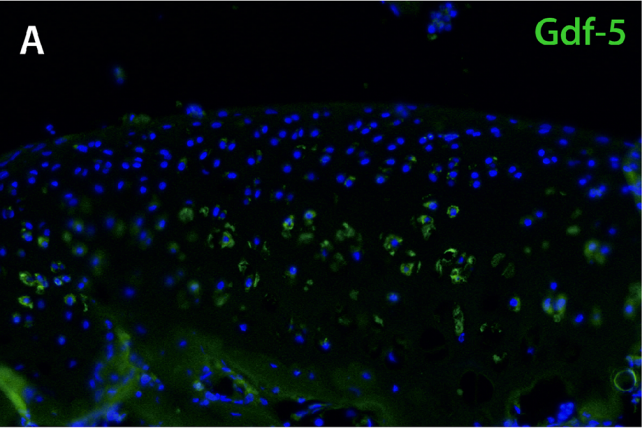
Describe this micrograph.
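This is articular cartilage with its chondrocytes, their nuclei shown in blue, scattered through a dark matrix beneath a smooth surface. Near the surface the cells are small with small rounded nuclei and show little green. Deeper down the cells are larger, sit in rounded spaces, and many are rimmed or filled by a green, granular label. Some of these larger cells lie in small pairs or clusters. At the bottom, dense green-fluorescing tissue with irregular spaces marks the transition to underlying bone. The labelled, enlarged cells of the deeper zone are prehypertrophic chondrocytes.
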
